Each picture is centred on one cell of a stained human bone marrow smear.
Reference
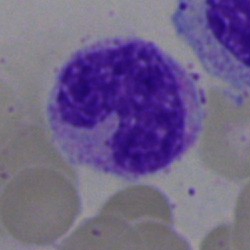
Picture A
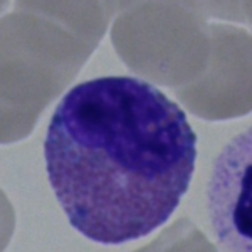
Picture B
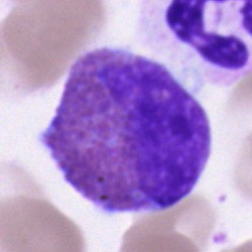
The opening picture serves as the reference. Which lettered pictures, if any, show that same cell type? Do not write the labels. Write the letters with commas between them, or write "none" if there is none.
none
